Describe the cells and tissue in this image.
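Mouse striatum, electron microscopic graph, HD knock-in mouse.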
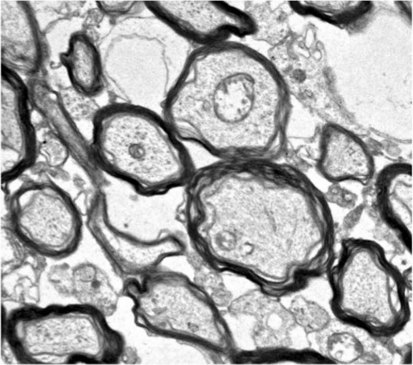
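The axon profiles are round to oval and vary in size. Their interiors are pale and finely granular, and some contain small membrane-bound organelles. Between the sheathed axons lie smaller pale profiles and thin membrane-bound processes without a dark wrapping. Pale, empty-looking spaces separate some profiles.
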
